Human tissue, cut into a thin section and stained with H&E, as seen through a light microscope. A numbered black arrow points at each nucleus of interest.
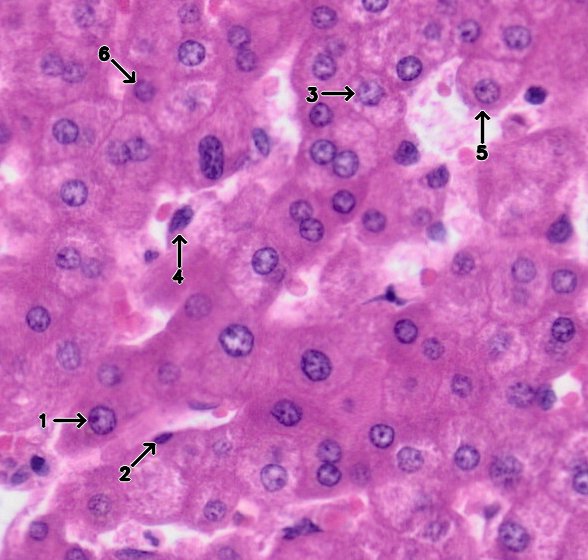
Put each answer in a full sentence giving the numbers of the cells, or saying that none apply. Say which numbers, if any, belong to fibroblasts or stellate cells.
Cell 2 is a fibroblast or stellate cell and is the only numbered cell of that kind.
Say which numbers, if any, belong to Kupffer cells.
Only cell 4 is a Kupffer cell; none of the other numbered cells is.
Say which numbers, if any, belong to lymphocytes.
Answering directly: no lymphocytes are among the numbered cells.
